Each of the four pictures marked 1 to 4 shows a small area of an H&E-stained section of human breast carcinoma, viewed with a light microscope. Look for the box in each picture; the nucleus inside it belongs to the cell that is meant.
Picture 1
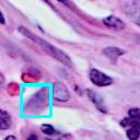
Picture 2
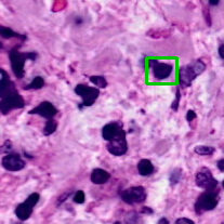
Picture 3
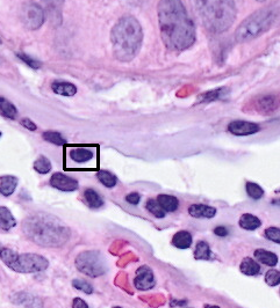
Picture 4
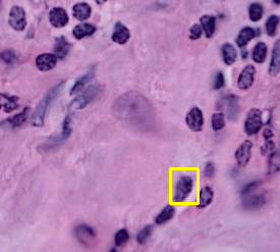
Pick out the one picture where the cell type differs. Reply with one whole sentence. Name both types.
All pictures except 1 show lymphocytes; picture 1 shows an endothelial cell.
